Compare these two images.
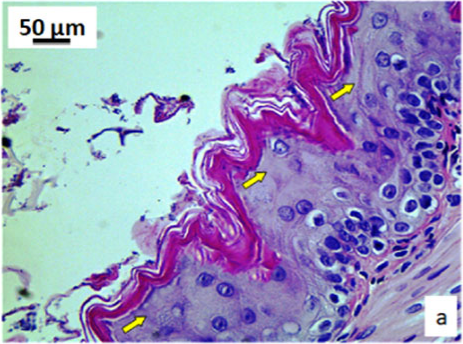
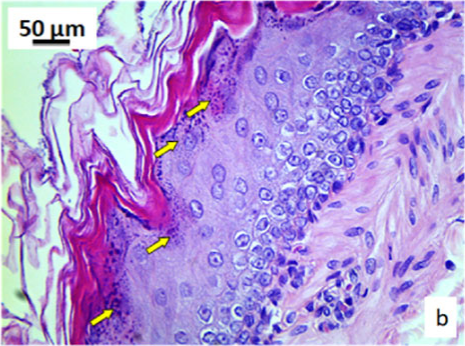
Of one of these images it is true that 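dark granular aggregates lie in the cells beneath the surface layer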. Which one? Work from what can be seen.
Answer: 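Second image: clusters of fine dark purple granules line the cells under the magenta surface layer. First image: the cells under the magenta surface layer show pale cytoplasm without dark granules.
The second image.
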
